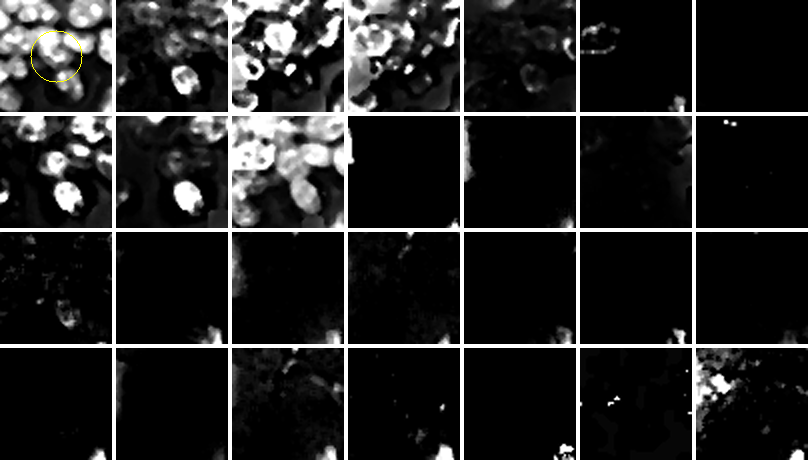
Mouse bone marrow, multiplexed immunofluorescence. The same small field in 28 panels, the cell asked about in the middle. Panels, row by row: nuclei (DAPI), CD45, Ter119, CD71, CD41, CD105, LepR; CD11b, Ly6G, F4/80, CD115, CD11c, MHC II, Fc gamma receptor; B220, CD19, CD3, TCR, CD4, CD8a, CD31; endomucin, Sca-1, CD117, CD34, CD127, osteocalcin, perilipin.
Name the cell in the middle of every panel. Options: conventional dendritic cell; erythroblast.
erythroblast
